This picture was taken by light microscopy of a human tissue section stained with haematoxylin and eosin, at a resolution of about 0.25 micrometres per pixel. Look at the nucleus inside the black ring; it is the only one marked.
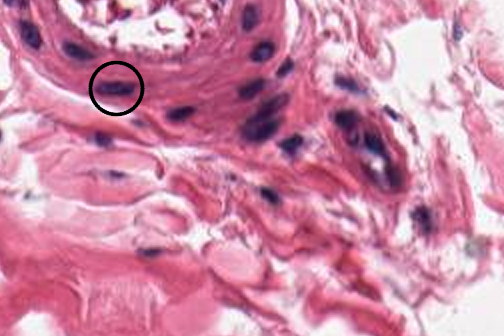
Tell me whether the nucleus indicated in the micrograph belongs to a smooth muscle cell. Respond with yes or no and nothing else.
yes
